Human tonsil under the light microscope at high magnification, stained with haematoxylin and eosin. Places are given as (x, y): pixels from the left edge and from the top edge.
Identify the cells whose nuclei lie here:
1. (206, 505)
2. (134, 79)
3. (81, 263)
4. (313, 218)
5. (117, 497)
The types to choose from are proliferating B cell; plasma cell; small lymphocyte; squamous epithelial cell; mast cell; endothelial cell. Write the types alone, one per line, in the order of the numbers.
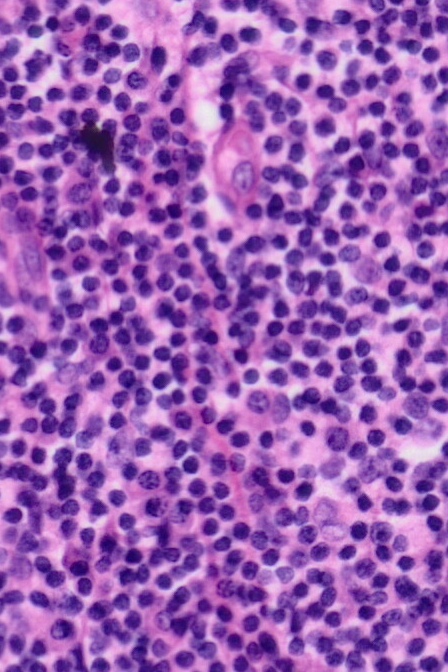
small lymphocyte
plasma cell
plasma cell
small lymphocyte
small lymphocyte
